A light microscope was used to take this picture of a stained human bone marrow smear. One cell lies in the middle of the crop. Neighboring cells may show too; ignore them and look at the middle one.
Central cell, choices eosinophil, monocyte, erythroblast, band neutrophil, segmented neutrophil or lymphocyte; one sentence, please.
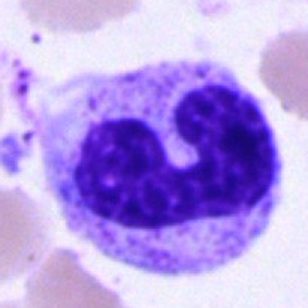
Of the cells in this crop, the central one is a band neutrophil.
